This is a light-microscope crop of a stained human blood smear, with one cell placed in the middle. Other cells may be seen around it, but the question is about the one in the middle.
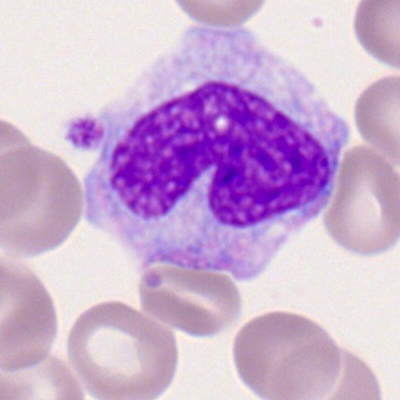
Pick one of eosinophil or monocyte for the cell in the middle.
monocyte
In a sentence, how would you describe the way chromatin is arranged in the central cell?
What stands out is fine chromatin lacking any coarse clumps.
